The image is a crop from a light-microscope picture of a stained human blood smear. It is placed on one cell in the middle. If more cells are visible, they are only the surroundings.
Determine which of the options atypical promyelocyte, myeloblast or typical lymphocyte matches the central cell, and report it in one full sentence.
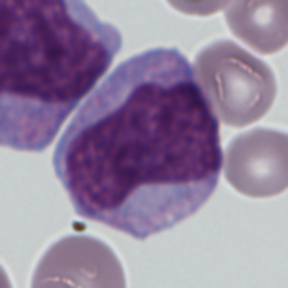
The centrally positioned cell in the crop represents an atypical promyelocyte.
